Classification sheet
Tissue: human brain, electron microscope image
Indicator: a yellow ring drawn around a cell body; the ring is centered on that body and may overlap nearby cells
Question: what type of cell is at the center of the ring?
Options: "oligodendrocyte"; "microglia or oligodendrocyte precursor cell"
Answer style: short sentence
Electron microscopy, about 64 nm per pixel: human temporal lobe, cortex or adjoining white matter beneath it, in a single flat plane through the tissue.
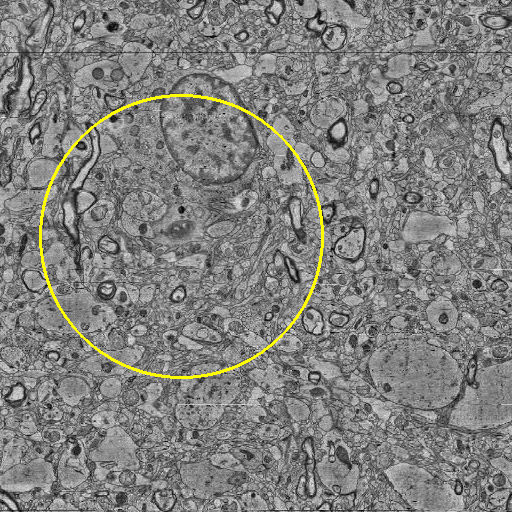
At the ring's center is an oligodendrocyte.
